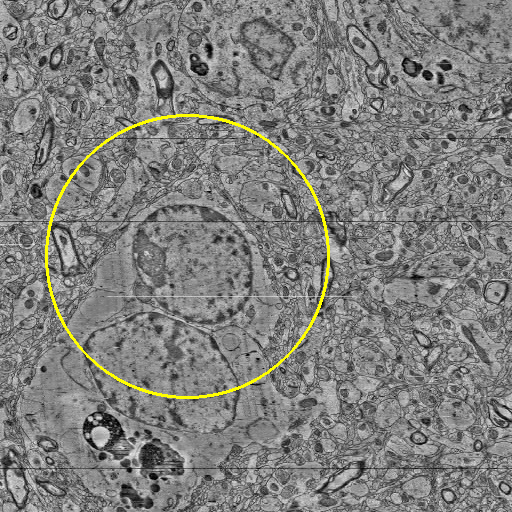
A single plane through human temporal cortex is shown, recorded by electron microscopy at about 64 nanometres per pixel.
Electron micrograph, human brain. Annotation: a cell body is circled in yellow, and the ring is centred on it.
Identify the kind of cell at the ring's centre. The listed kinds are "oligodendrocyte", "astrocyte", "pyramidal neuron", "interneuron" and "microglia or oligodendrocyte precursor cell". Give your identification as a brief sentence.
The circled cell body is that of an astrocyte.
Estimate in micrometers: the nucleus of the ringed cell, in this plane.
In this plane, the nucleus of the cell at the centre of the ring measures about 8 by 7 micrometres.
